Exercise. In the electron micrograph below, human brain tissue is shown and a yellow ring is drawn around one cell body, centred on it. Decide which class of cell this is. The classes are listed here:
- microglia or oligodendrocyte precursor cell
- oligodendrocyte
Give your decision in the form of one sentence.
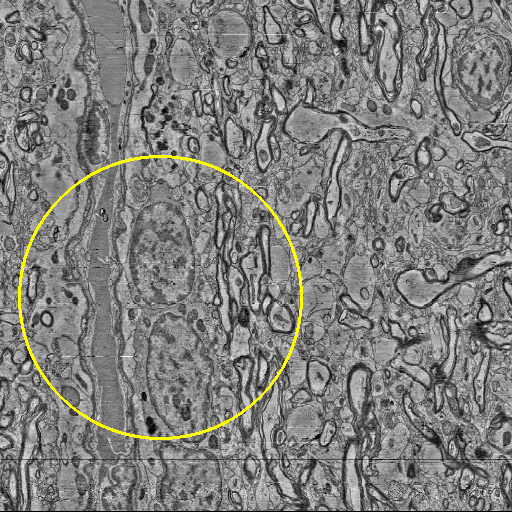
The cell body marked by the ring belongs to an oligodendrocyte.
